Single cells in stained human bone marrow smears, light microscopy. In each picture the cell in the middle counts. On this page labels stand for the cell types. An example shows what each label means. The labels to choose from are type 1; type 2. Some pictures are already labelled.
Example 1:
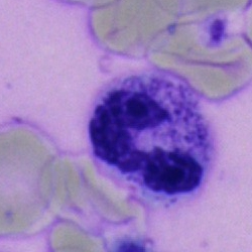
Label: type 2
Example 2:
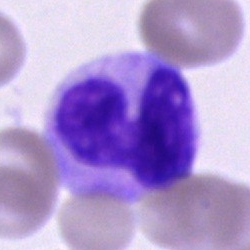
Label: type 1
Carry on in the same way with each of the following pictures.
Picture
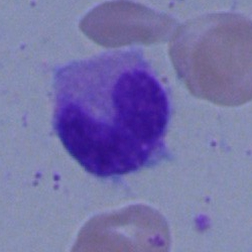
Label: type 1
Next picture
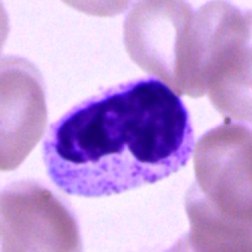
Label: type 1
